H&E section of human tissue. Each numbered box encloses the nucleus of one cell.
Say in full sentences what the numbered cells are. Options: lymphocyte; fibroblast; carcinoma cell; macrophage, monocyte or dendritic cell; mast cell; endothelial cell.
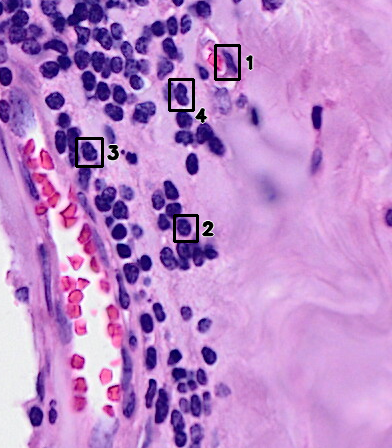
Cell 1 is an endothelial cell, cell 2 is a lymphocyte, cell 3 is a lymphocyte and cell 4 is a lymphocyte.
